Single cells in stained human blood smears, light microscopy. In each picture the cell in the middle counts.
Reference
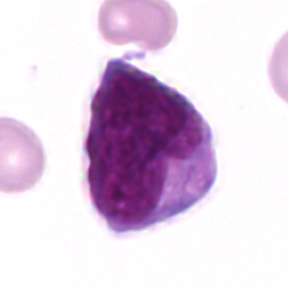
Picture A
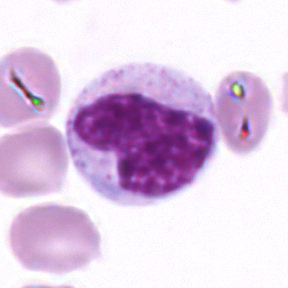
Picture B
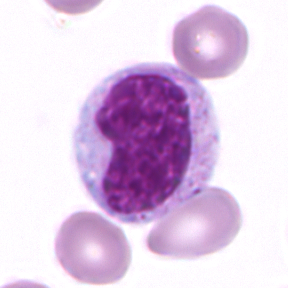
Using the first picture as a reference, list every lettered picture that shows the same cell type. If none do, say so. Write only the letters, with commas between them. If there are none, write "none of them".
none of them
